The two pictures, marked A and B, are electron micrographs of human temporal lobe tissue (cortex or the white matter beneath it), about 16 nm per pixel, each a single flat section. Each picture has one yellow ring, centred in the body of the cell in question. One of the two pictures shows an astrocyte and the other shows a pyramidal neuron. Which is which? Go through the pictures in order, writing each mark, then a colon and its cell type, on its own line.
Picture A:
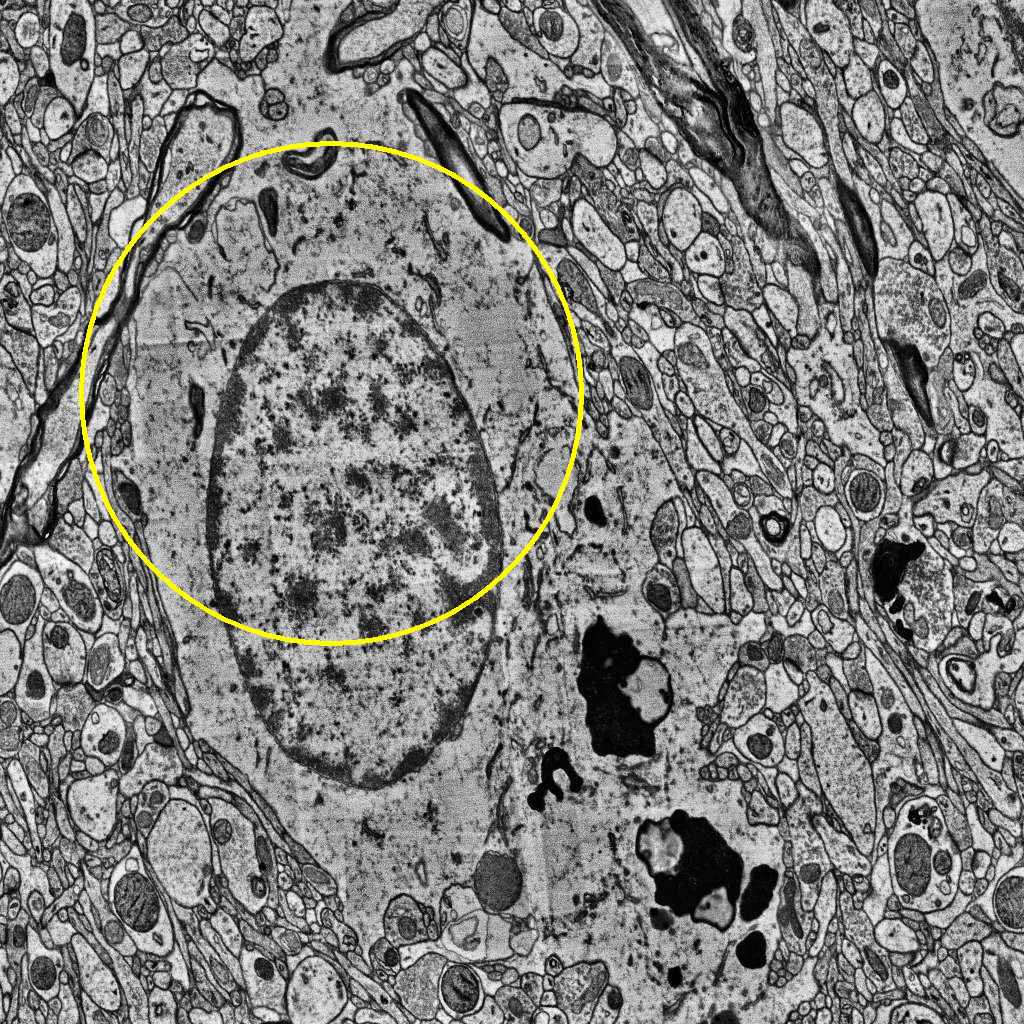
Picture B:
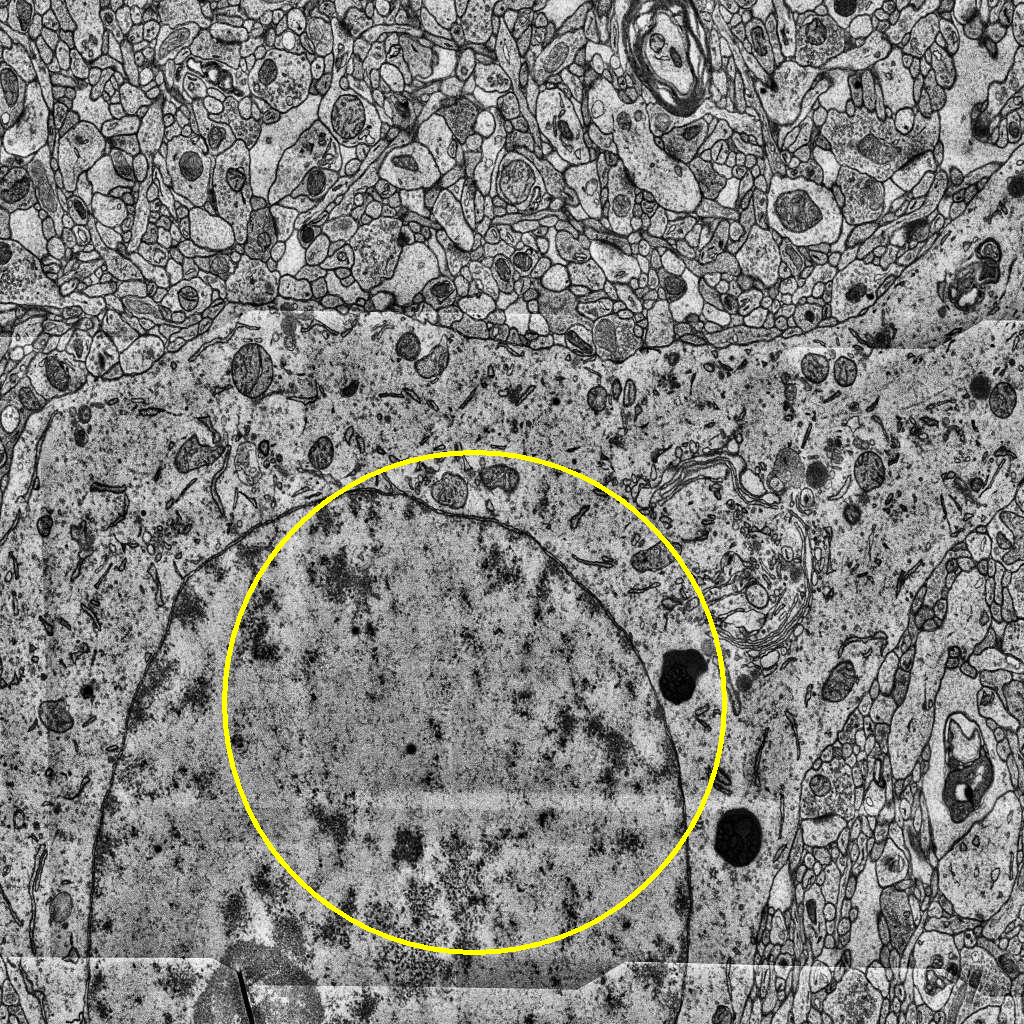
A: astrocyte
B: pyramidal neuron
